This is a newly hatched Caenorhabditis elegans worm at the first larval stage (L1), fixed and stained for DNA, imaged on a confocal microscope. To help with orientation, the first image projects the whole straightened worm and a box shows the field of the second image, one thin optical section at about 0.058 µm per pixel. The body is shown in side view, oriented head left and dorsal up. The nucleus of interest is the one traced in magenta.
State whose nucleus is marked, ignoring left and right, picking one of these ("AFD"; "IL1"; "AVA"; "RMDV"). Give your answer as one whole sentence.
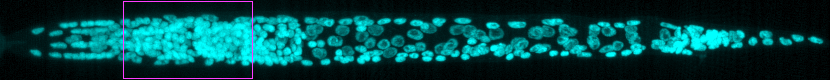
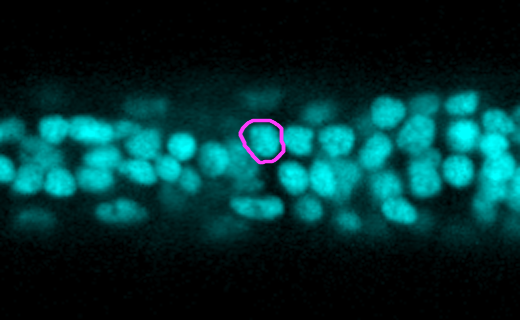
The marked nucleus is that of RMDV, a neuron.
